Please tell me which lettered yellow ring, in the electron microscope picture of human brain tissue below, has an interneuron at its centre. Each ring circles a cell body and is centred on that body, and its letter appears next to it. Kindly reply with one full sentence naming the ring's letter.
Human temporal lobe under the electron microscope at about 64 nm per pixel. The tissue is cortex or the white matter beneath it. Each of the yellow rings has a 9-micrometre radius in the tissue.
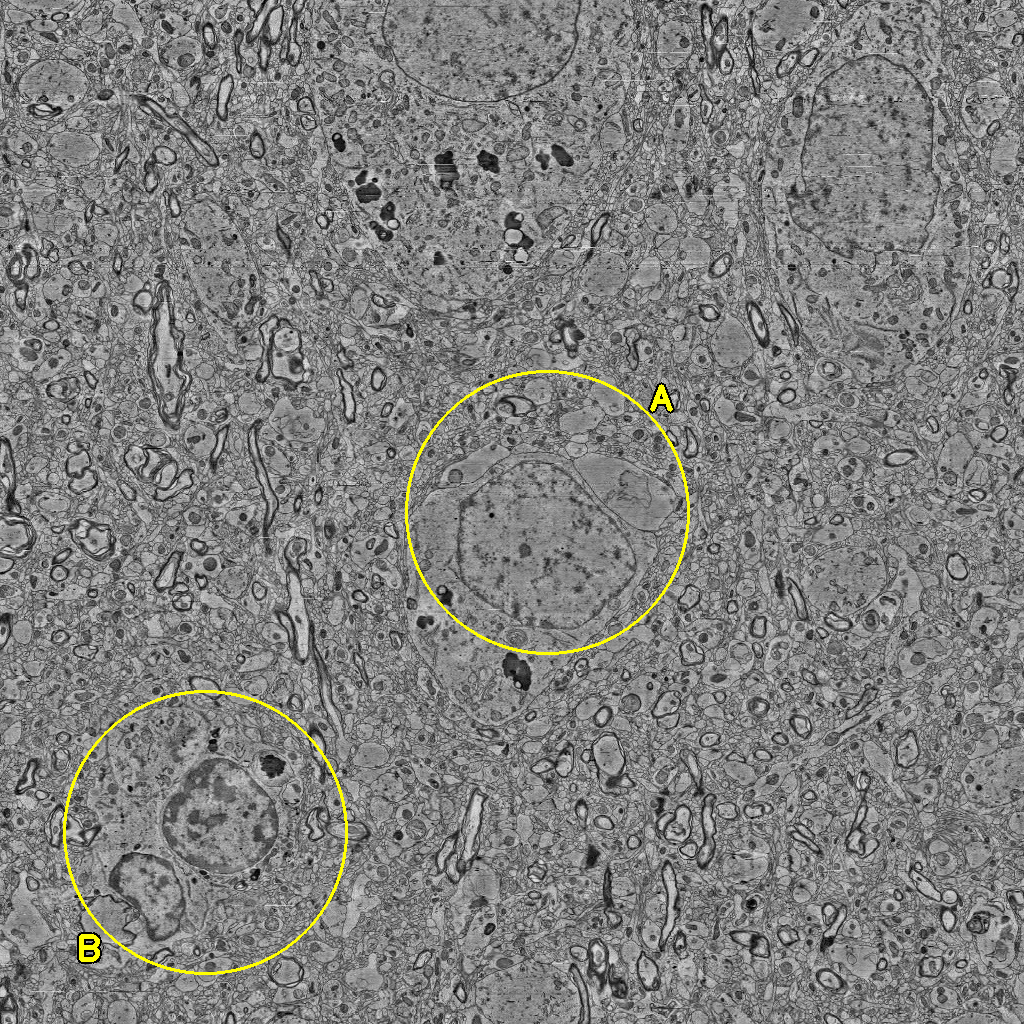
Ring A has the cell asked for at its centre.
